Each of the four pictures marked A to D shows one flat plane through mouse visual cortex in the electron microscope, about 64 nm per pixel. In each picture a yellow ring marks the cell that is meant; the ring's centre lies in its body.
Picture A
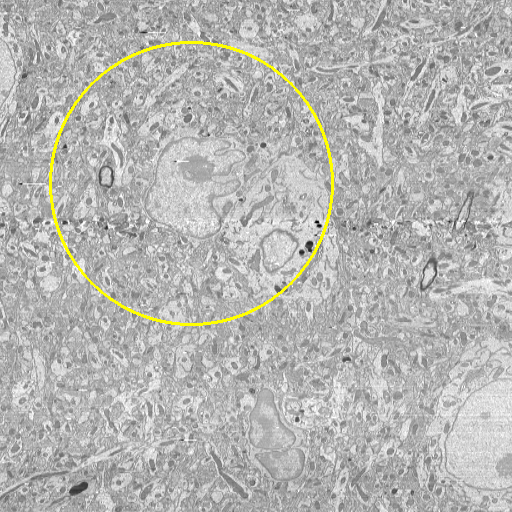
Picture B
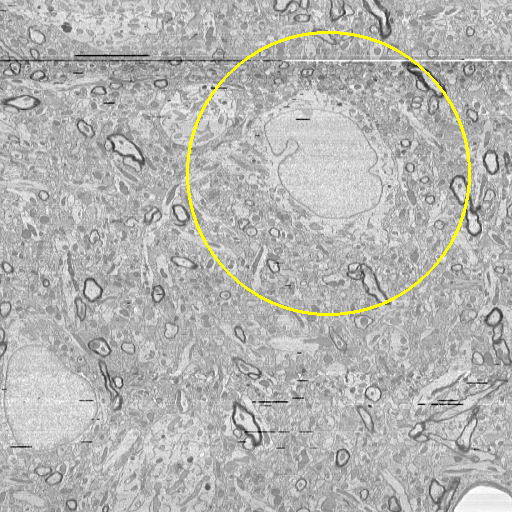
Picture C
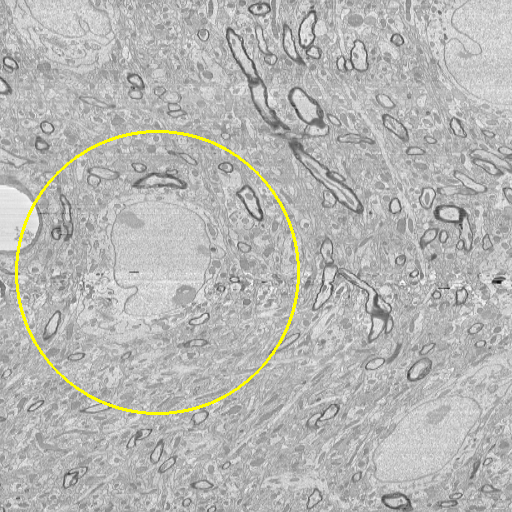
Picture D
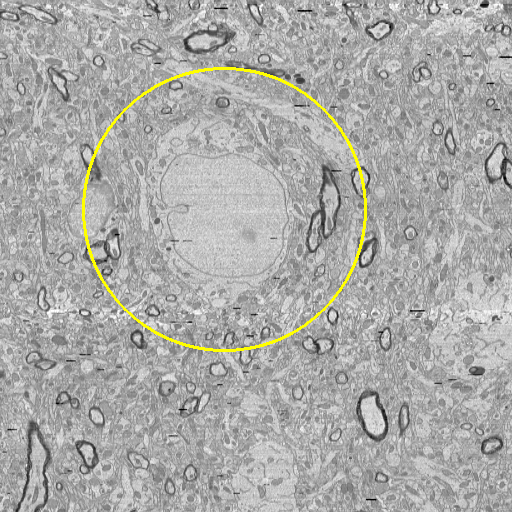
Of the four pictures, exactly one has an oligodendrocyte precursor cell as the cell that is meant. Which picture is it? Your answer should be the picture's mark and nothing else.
A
